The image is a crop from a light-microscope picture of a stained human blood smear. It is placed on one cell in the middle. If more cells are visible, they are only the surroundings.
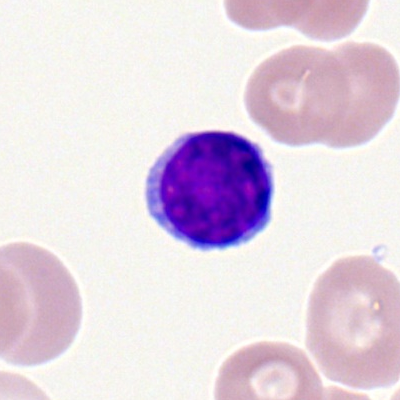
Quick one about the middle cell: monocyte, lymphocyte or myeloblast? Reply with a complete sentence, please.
The crop centres on a single cell, and that cell is a lymphocyte.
